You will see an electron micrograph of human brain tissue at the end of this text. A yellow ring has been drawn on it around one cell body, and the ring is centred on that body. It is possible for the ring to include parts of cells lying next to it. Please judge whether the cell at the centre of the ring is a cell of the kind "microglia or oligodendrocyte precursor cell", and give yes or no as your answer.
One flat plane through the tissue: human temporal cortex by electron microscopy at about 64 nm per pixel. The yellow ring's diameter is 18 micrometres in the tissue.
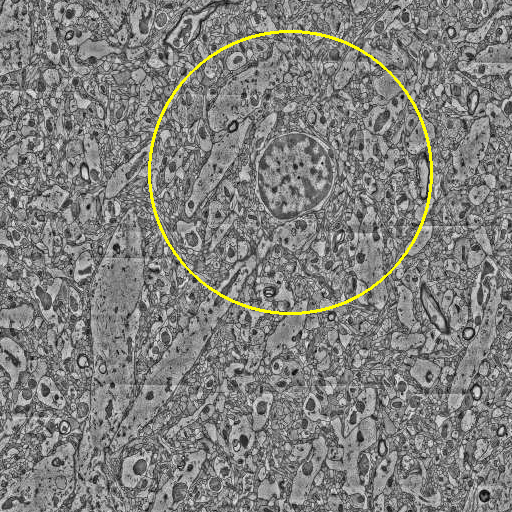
yes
